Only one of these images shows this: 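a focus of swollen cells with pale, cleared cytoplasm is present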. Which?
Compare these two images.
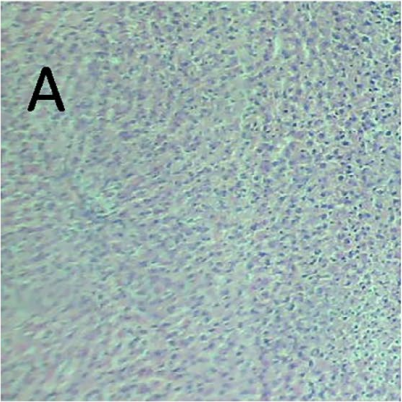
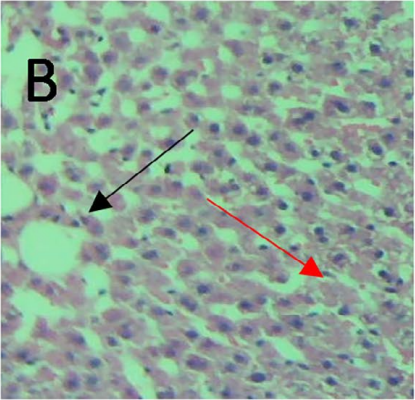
The second image.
